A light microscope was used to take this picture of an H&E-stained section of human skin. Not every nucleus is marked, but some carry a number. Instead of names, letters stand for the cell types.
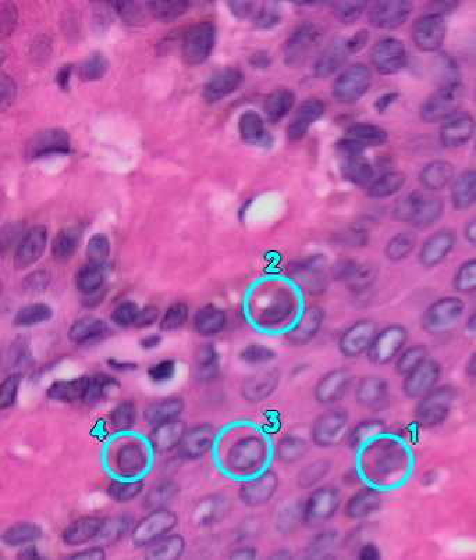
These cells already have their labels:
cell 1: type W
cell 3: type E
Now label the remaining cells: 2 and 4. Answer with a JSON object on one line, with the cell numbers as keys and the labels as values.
{"2": "type W", "4": "type W"}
